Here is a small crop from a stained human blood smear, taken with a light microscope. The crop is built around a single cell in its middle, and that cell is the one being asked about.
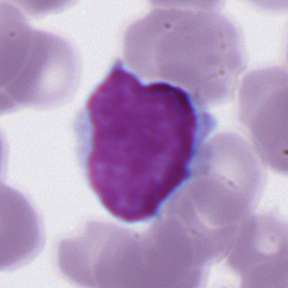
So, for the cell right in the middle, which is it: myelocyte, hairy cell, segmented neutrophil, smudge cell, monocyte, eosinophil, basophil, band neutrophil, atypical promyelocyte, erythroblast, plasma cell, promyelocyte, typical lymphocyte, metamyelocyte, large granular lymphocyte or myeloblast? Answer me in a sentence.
In the middle of this smear crop is a typical lymphocyte.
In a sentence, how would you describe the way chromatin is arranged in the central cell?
The chromatin is delicate and fine, lacking coarse clumping entirely.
